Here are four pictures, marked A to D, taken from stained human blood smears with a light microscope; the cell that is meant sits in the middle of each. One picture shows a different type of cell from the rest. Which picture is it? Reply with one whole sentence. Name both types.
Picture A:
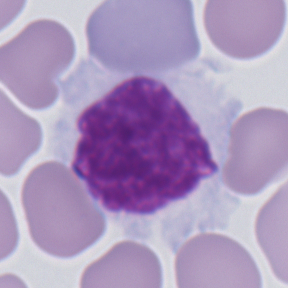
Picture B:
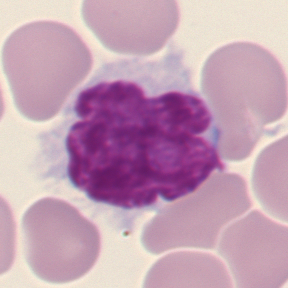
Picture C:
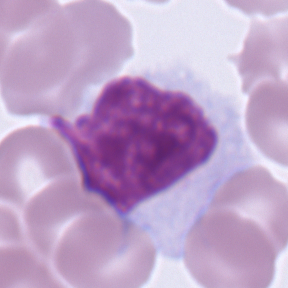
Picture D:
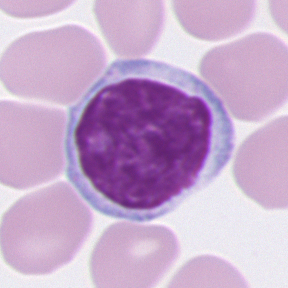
All pictures except D show hairy cells; picture D shows a typical lymphocyte.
